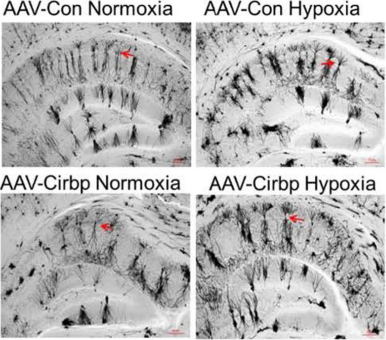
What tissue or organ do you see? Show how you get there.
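Hippocampus. A curved band of darkly impregnated neurons runs along the section. Dendrites extend in parallel from the curved band of cell bodies.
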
